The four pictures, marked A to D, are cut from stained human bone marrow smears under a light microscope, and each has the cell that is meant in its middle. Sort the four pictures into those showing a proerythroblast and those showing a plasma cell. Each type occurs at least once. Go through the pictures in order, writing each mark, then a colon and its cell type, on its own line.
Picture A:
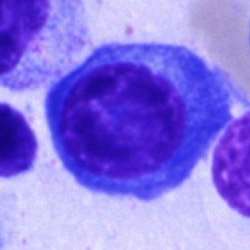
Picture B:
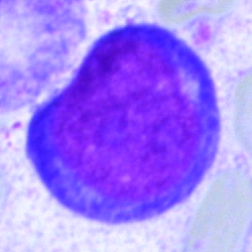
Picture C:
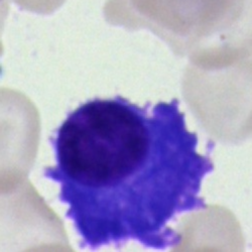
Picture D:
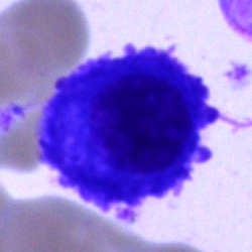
A: plasma cell
B: proerythroblast
C: plasma cell
D: plasma cell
